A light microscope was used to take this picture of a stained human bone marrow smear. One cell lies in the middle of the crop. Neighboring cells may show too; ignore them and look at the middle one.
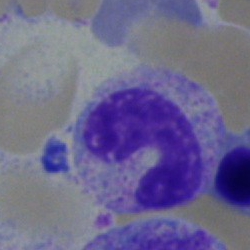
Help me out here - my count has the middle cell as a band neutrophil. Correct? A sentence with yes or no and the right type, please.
Yes, centred in the crop is a band neutrophil.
